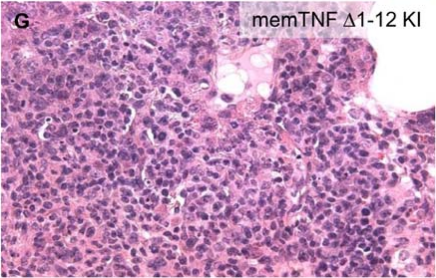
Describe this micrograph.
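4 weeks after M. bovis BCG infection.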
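Lung tissue is replaced by a dense lesion crowded with inflammatory cells, with only a few air spaces at the top. Most cells have small, dark, round or irregular nuclei and scant cytoplasm, packed tightly with little pink tissue between them.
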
